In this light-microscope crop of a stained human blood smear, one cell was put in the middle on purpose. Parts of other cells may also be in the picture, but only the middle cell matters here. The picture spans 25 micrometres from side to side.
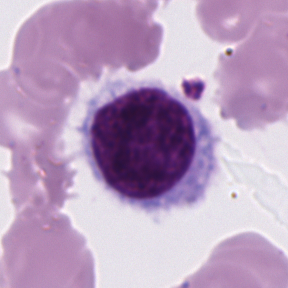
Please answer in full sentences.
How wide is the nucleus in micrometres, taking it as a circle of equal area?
Taken as a circle, the nucleus has a diameter of about 9 micrometres.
